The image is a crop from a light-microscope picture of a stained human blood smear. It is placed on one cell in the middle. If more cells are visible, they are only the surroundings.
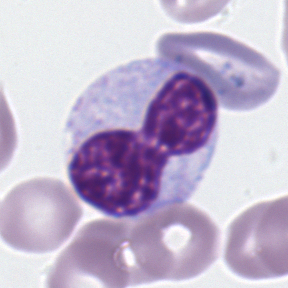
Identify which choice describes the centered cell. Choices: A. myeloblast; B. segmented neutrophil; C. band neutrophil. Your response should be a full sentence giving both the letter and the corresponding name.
Option C stands as correct, the central cell being a band neutrophil.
